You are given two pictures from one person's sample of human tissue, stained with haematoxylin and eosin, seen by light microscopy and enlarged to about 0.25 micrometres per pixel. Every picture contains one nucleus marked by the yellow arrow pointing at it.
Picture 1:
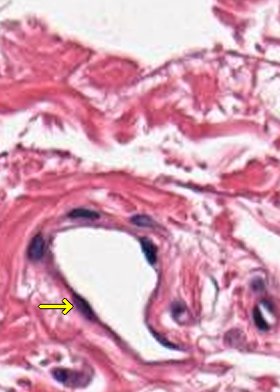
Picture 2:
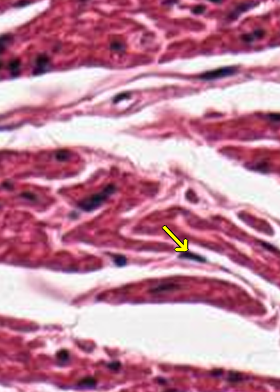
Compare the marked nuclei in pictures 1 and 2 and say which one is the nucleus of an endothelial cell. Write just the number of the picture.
1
